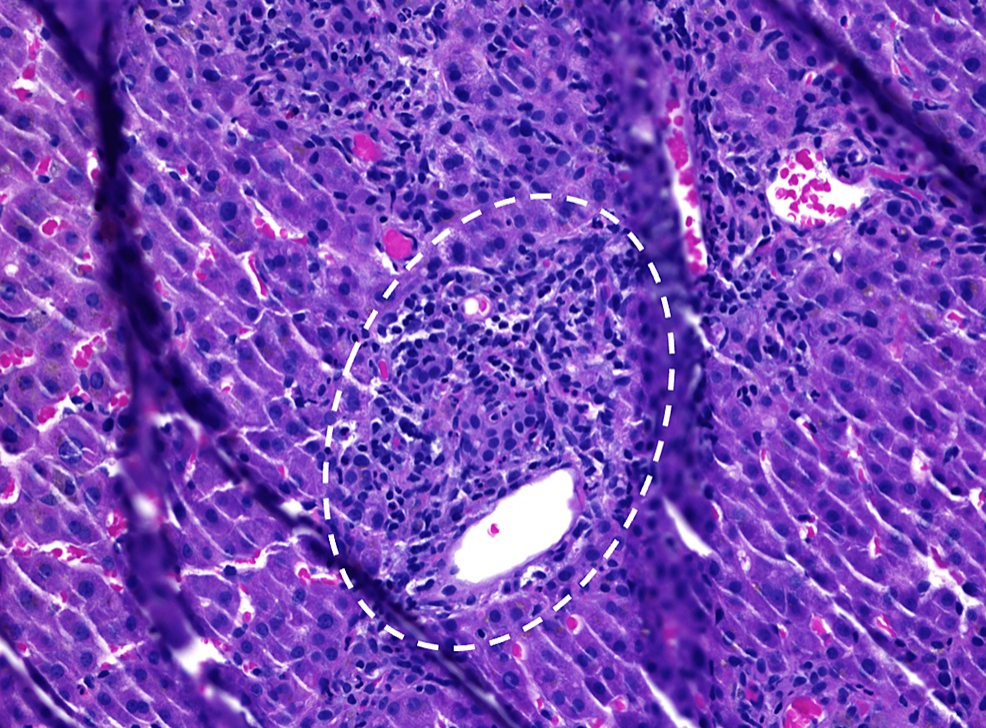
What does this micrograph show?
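This section of liver shows a portal area densely infiltrated by lymphocytes. The lymphocytes are small, round cells with dark purple nuclei and very little cytoplasm, and they crowd around an open vessel lumen. Around the portal area run plates of hepatocytes. Dark purple bands crossing the field are folds in the tissue section.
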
